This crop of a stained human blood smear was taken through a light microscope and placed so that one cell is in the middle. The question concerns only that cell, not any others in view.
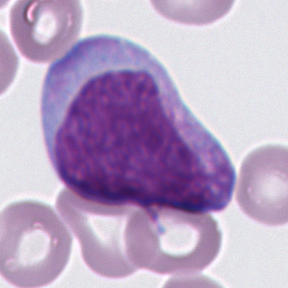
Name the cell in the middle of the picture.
atypical promyelocyte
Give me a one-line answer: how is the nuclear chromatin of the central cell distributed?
Its chromatin is finely dispersed rather than coarsely clumped.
